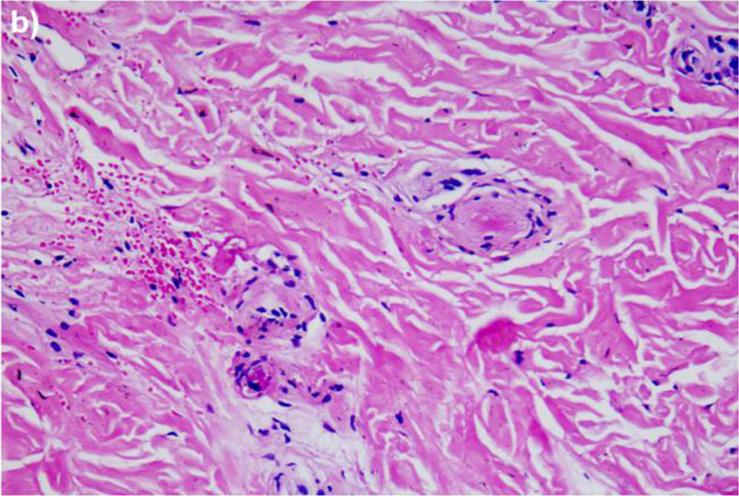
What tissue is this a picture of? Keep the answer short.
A: dermis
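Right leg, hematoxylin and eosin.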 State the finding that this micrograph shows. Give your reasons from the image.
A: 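Thickened vascular wall. Small vessels have walls thick relative to their narrow lumens. Concentric layers of cells and pink material surround each small lumen.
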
